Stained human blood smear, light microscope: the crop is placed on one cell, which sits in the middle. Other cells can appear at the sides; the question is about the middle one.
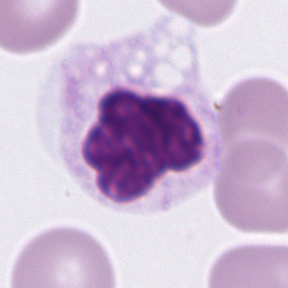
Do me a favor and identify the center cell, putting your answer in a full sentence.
The cell centered in this field of view is a neutrophil.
